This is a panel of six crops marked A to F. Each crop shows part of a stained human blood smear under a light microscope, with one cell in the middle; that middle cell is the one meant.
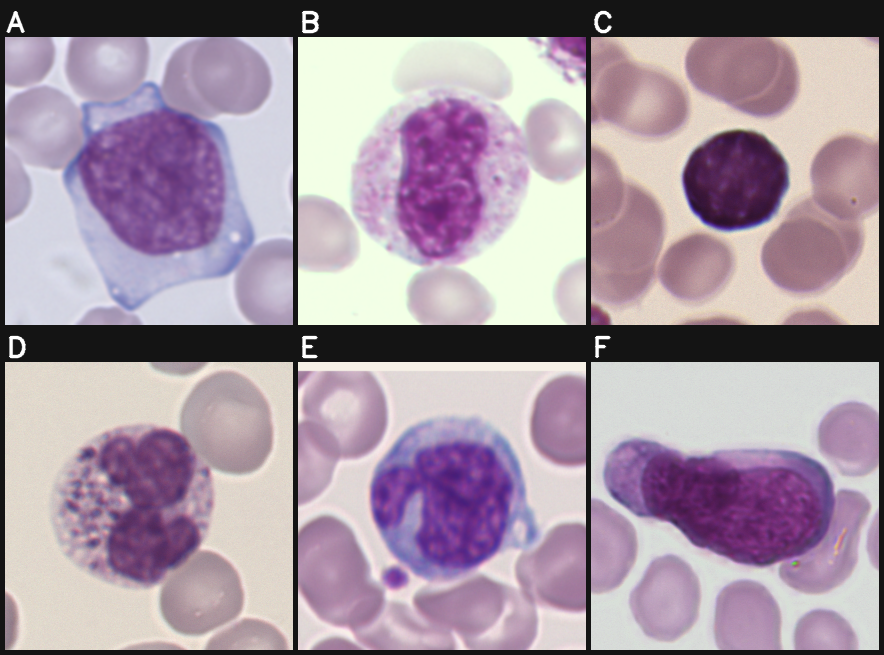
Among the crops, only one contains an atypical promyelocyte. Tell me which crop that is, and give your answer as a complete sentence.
It is crop F that shows an atypical promyelocyte.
